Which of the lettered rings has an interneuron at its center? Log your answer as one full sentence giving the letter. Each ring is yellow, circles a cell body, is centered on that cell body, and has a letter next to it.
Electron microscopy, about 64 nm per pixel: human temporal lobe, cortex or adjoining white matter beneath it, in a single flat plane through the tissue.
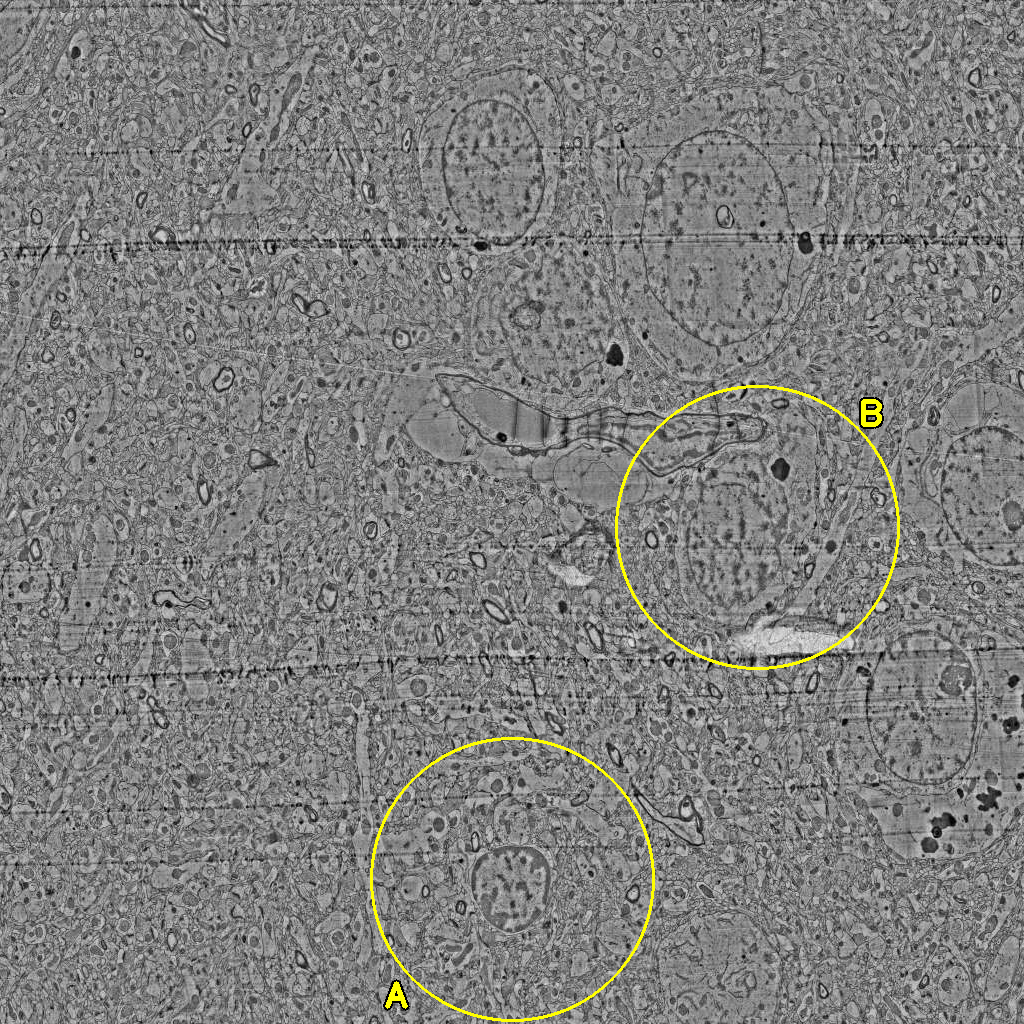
The lettered ring centered on the cell asked for is ring B.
